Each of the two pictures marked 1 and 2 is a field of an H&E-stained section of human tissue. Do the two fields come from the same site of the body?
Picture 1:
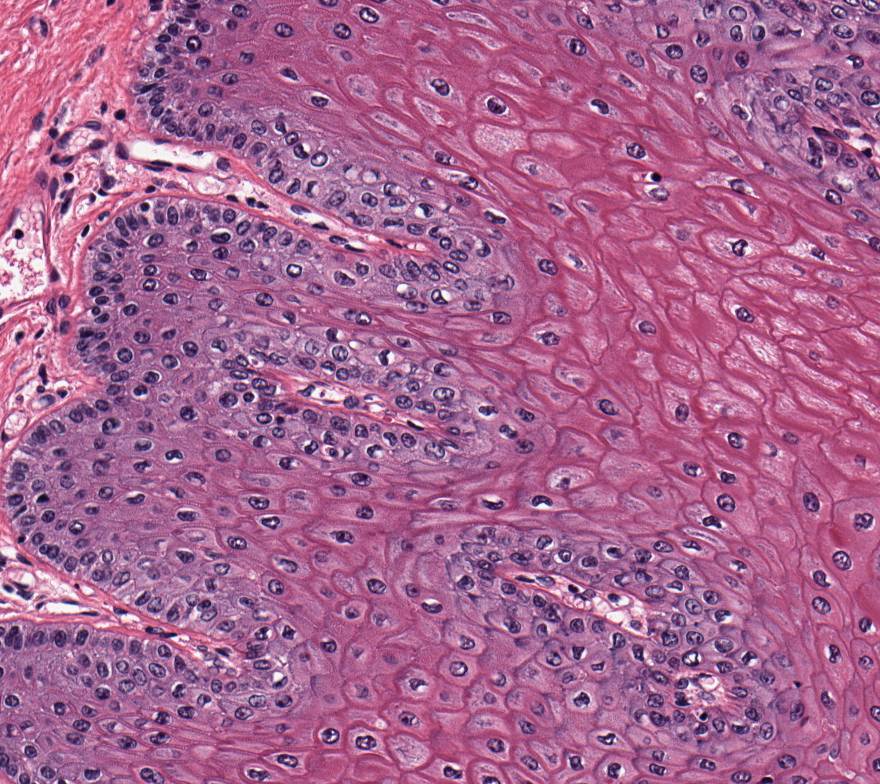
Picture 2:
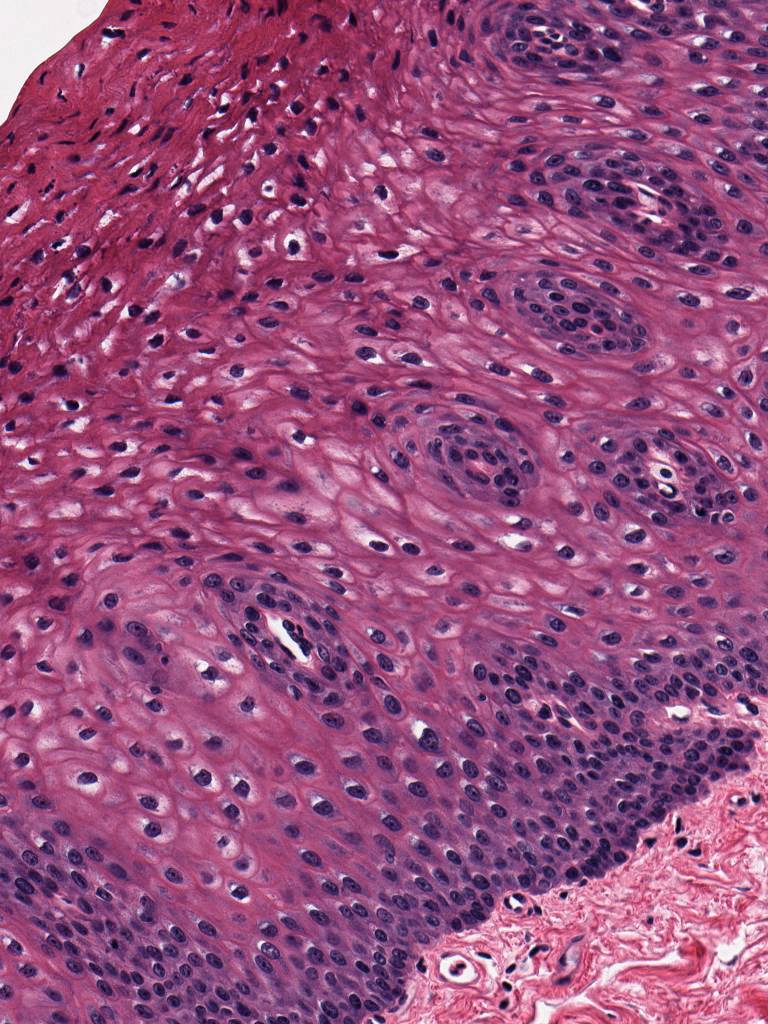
yes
